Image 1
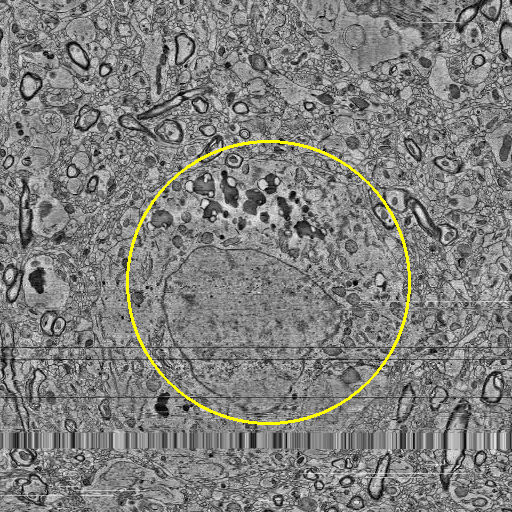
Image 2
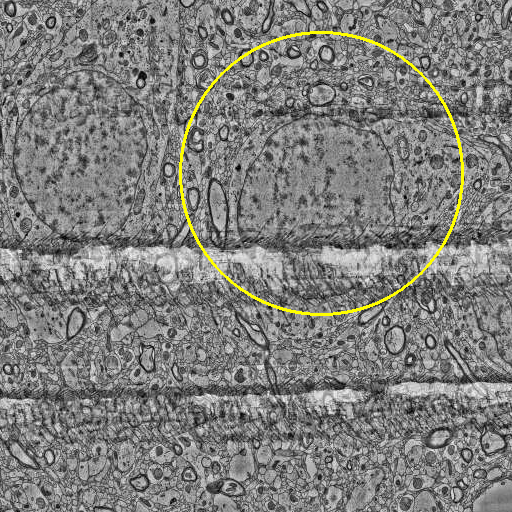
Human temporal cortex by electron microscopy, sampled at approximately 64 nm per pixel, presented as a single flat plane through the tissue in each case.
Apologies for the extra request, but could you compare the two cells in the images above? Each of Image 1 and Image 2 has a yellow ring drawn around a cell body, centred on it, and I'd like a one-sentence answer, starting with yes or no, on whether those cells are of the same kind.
Yes, both cells are of the same kind.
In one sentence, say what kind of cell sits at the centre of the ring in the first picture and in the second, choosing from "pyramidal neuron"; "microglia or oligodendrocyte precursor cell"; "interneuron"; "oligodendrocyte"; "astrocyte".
Both rings mark a pyramidal neuron, one in each picture.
